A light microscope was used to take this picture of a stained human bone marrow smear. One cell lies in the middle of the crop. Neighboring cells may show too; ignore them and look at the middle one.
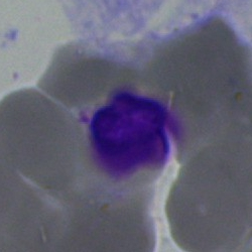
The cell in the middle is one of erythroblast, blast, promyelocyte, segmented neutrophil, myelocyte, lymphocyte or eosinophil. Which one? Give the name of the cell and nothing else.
lymphocyte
